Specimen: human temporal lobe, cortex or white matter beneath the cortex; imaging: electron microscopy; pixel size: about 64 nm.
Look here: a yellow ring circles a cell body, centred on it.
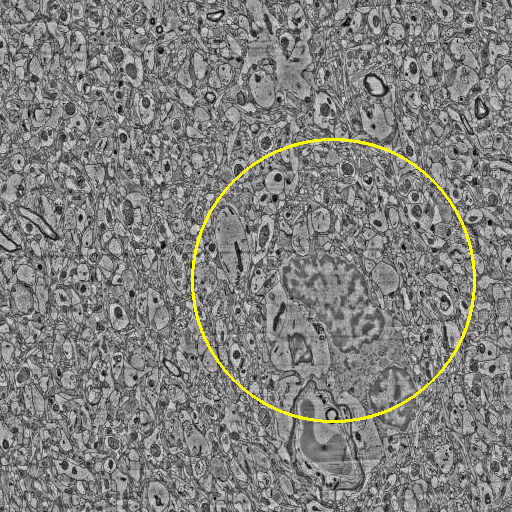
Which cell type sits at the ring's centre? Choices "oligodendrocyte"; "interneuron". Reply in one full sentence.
The cell at the centre of the yellow ring in the picture is an oligodendrocyte.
